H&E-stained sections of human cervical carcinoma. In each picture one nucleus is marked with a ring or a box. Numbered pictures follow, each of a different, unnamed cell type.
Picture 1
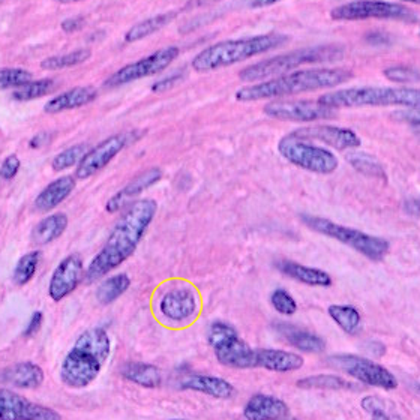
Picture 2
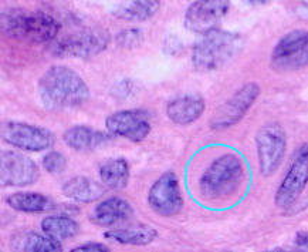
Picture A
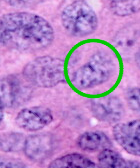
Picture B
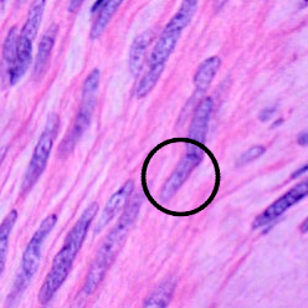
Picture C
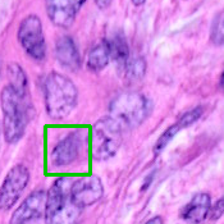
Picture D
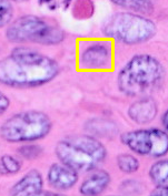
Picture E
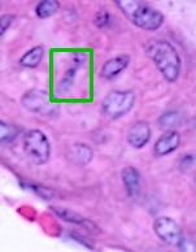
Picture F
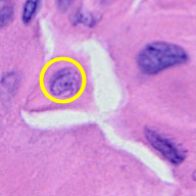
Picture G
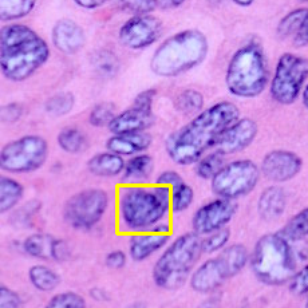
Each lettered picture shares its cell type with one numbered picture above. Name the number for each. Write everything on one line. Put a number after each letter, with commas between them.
A 2, B 1, C 2, D 2, E 1, F 2, G 2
